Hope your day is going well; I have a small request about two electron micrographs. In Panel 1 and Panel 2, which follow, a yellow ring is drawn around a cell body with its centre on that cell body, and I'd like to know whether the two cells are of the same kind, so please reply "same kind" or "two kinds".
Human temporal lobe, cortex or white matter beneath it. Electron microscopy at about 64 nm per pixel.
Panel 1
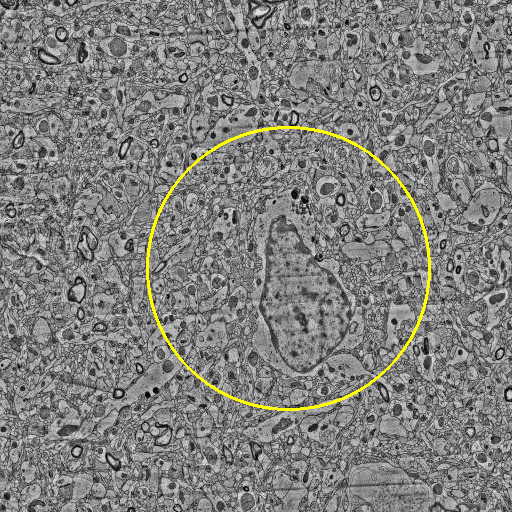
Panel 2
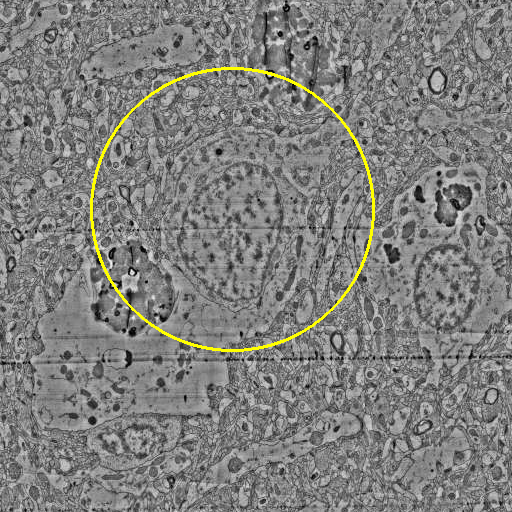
two kinds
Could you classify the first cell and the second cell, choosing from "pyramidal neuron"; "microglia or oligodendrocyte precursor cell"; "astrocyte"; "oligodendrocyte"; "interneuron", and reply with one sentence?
The second cell is an interneuron, while the first is a microglial cell or oligodendrocyte precursor cell.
